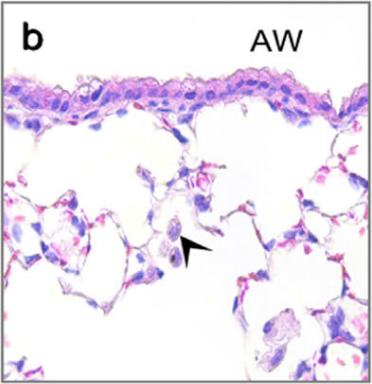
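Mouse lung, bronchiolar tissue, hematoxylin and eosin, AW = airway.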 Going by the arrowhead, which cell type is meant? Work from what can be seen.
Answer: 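Macrophages. A rounded free cell lies within an alveolar space.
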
